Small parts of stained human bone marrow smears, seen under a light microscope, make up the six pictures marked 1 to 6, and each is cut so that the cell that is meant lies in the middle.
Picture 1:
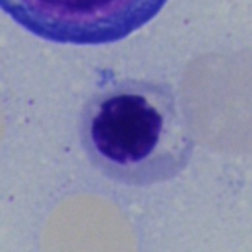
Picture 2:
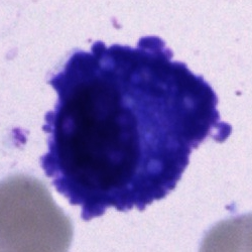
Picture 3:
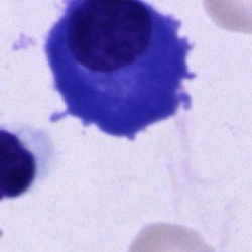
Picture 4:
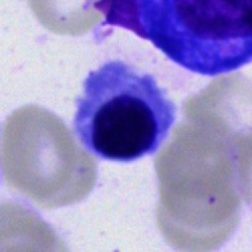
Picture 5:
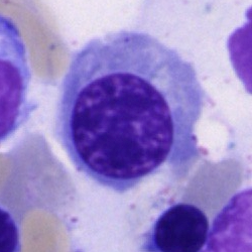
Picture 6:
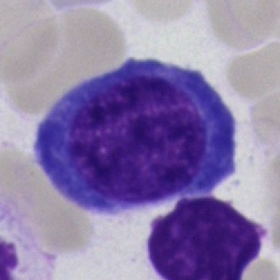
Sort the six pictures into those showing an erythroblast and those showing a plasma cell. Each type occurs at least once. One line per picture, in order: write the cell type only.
erythroblast
plasma cell
plasma cell
erythroblast
erythroblast
erythroblast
